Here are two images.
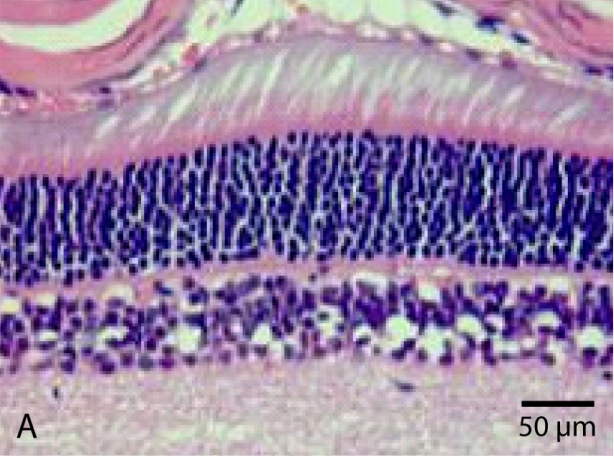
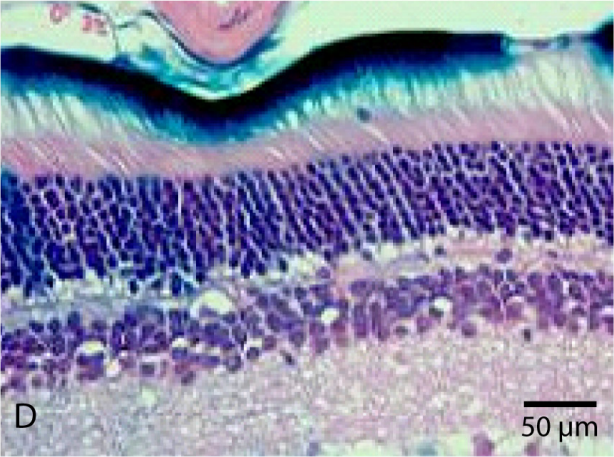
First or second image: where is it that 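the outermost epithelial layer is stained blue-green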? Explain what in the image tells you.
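Second image: a thick dark blue-green band lines the outer edge of the retina. First image: no blue-green colour; the outer layers are pink and purple only.
The second image.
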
